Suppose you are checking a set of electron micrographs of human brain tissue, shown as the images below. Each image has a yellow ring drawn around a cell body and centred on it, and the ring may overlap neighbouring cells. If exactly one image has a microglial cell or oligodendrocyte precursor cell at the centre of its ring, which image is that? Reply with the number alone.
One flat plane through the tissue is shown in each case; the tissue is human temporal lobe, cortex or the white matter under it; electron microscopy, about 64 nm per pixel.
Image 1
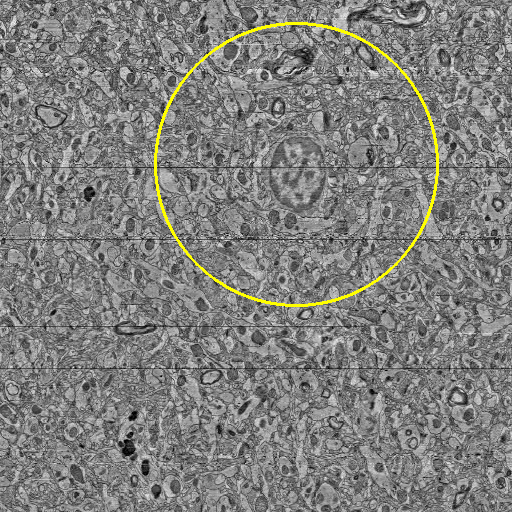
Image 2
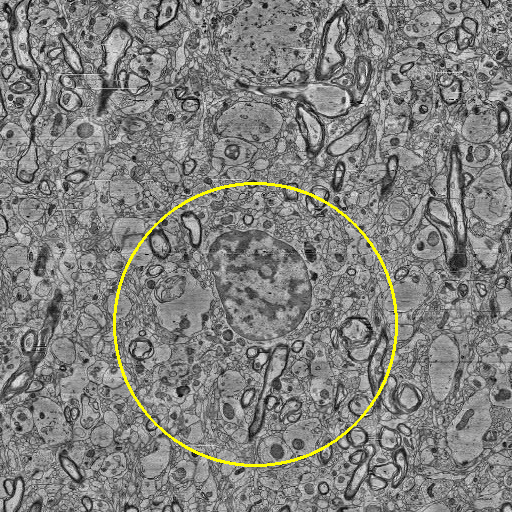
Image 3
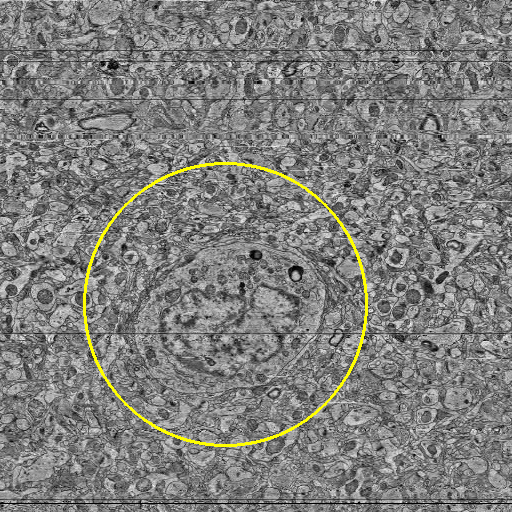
2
